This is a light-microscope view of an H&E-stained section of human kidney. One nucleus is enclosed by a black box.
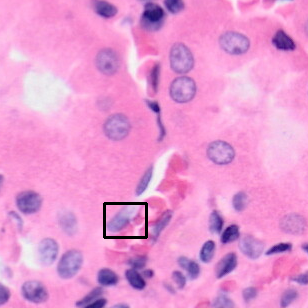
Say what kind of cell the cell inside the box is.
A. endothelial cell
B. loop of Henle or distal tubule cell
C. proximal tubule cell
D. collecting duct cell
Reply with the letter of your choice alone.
A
